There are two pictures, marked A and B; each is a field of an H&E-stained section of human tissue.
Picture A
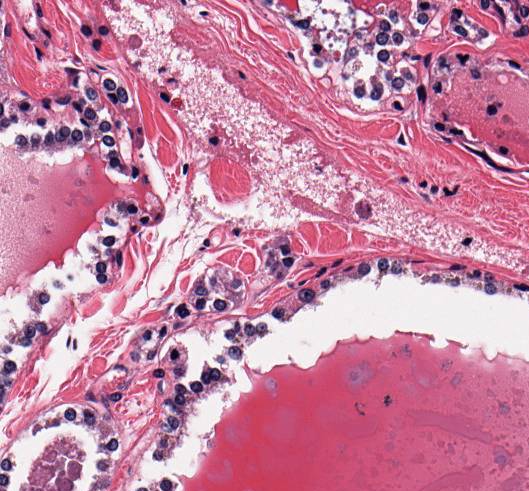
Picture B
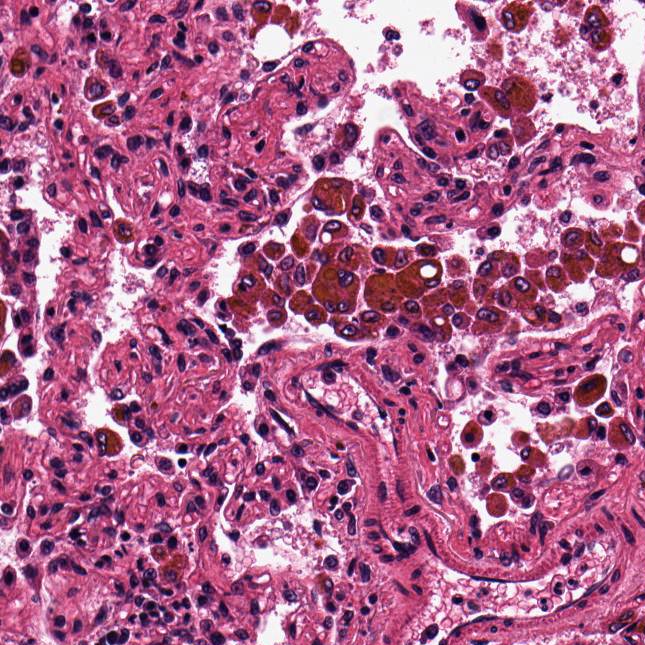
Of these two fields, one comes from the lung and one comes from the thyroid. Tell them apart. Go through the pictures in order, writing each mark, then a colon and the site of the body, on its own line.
A: thyroid
B: lung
